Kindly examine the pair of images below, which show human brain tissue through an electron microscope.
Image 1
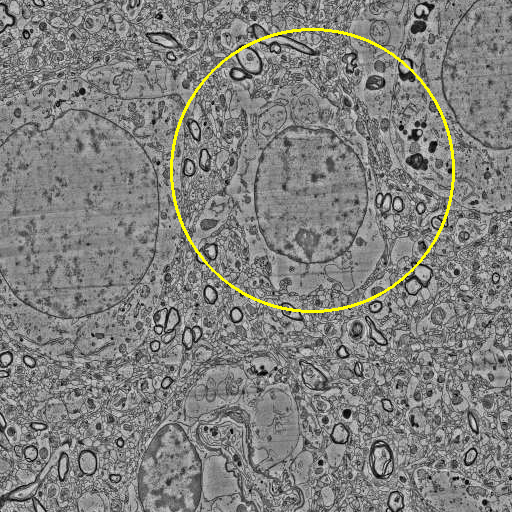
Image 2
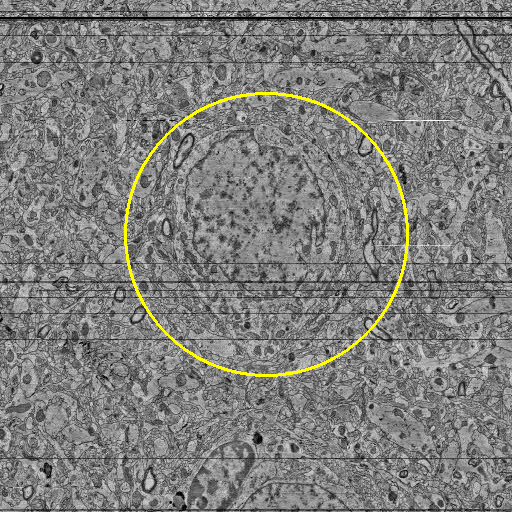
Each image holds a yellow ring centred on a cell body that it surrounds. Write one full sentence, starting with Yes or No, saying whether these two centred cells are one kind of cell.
No, the cells at the centres of the yellow rings belong to two kinds of cell.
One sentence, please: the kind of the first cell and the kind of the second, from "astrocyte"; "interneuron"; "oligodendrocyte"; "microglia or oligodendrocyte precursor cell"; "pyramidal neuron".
The ring in the first picture surrounds an astrocyte, and the ring in the second surrounds an interneuron.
